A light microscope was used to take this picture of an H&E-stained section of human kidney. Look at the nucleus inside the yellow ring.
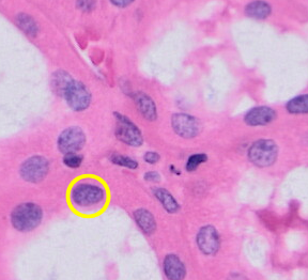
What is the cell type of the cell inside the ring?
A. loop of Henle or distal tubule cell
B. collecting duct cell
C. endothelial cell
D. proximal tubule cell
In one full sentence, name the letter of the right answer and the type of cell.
The item is answered by option A: the cell inside the ring is a loop of Henle or distal tubule cell.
